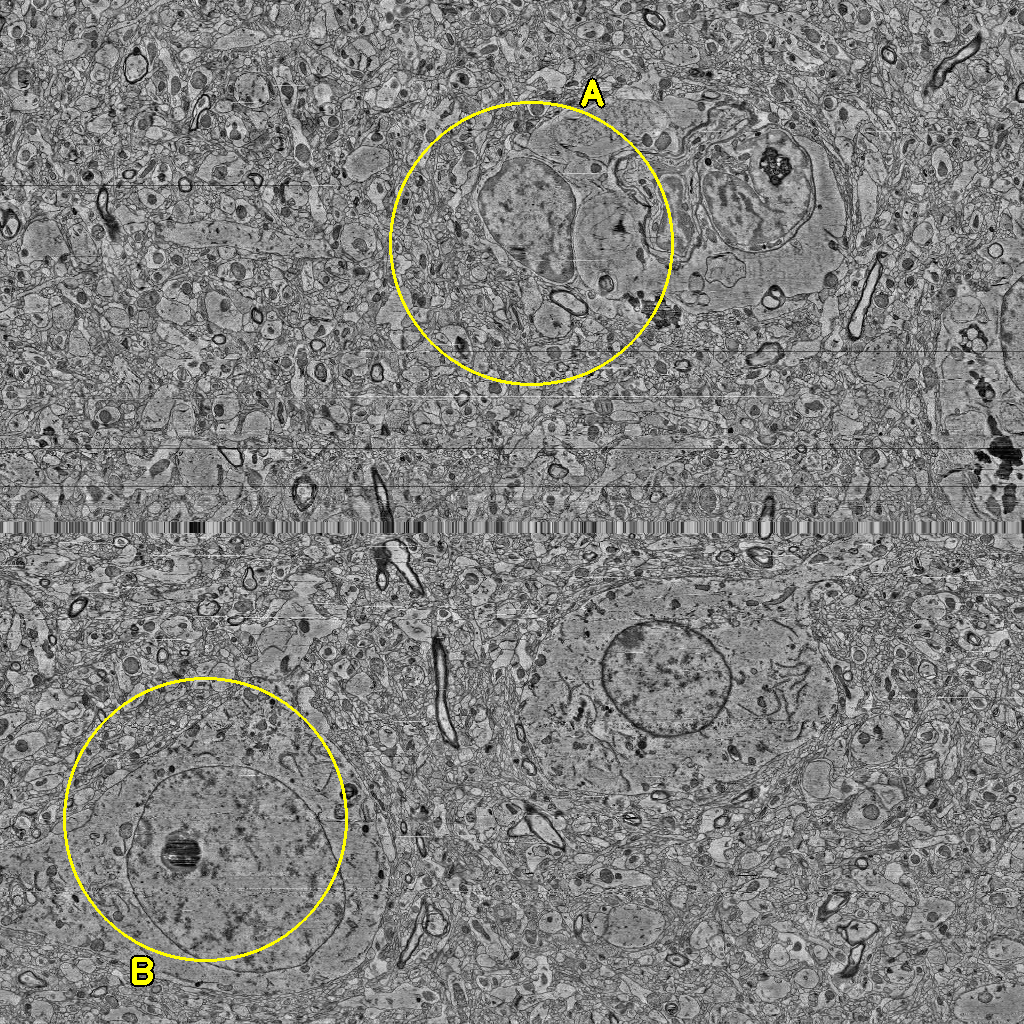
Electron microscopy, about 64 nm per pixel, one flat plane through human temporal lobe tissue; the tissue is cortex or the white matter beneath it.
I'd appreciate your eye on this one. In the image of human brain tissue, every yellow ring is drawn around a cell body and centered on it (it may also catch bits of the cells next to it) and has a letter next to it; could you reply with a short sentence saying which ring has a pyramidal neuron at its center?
Ring B is centered on it.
